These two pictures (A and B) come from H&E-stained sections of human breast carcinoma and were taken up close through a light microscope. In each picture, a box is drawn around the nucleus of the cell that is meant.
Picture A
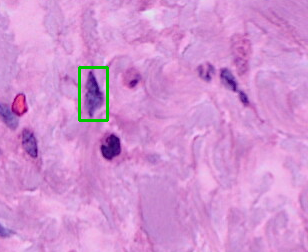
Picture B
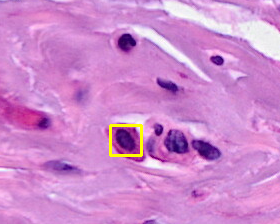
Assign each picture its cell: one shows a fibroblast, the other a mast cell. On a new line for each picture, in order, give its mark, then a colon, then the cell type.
A: fibroblast
B: mast cell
